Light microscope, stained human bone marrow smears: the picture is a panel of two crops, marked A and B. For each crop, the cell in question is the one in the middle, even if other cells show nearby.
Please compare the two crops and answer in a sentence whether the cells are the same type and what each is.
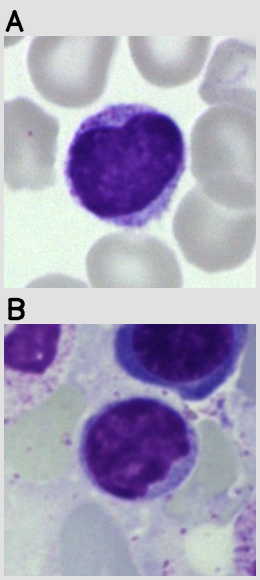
Yes, both crops show lymphocytes, the one and the other.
